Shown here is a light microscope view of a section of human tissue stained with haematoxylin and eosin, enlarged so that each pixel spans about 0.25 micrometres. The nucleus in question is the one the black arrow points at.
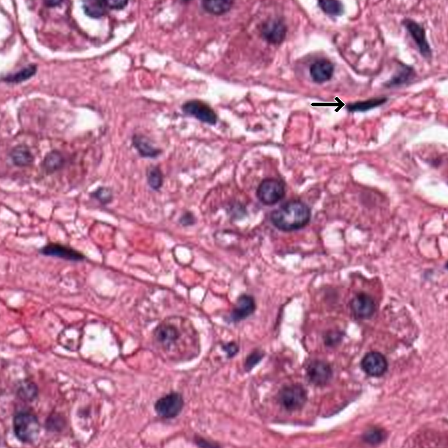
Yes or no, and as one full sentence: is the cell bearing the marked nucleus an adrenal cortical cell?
No, not an adrenal cortical cell but a supporting cell is the owner of the marked nucleus.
